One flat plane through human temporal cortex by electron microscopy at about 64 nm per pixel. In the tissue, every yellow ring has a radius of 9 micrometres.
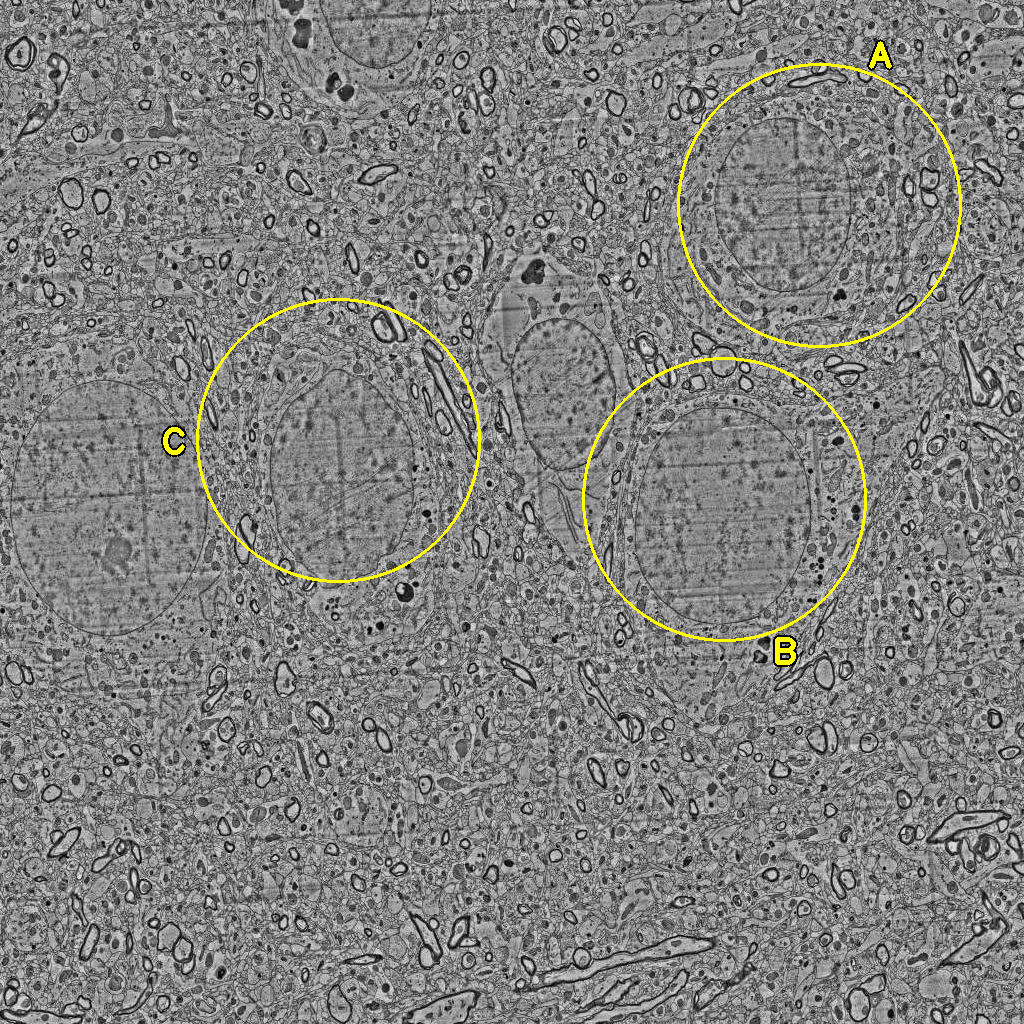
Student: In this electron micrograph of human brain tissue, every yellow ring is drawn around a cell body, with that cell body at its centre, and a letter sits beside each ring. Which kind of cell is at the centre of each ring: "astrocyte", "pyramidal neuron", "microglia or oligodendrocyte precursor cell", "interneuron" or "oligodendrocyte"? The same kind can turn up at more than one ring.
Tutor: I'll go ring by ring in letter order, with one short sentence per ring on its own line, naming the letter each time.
Ring A: the cell at its centre is an interneuron.
Ring B: the cell at its centre is a pyramidal neuron.
Ring C: the cell at its centre is a pyramidal neuron.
